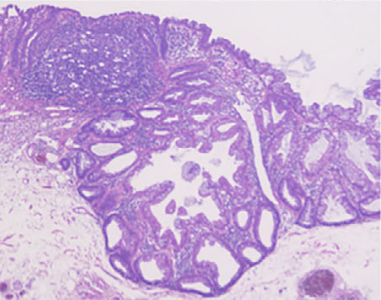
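Colonic mucosa with a lymphatic follicle, hematoxylin and eosin at low power. A dense rounded aggregate of small, dark-nucleated lymphoid cells occupies the upper left of the mucosa. Below and beside it lie glands with widened, irregular lumens lined by a single layer of columnar epithelium. Pale loose tissue lies beneath.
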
